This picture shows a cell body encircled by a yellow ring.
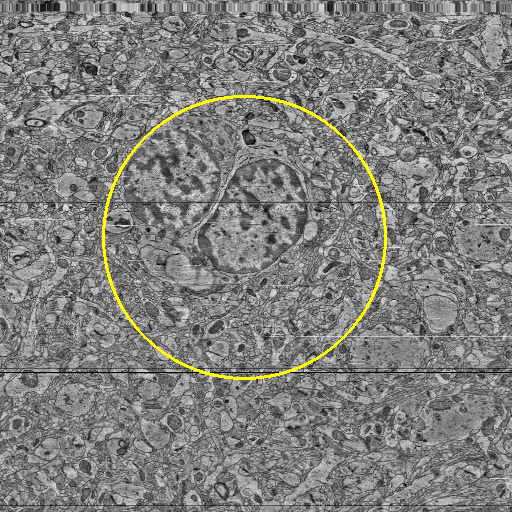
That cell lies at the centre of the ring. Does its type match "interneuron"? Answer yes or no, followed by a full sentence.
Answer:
No, in the picture, the ring surrounds a cell of another type at its centre.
